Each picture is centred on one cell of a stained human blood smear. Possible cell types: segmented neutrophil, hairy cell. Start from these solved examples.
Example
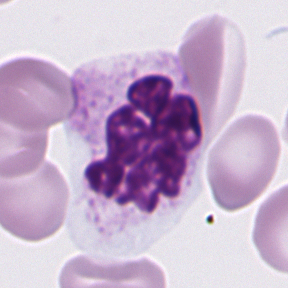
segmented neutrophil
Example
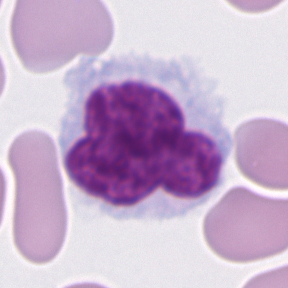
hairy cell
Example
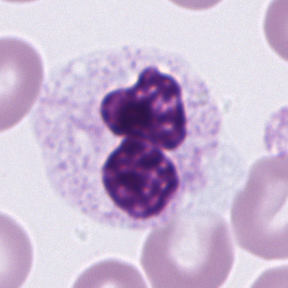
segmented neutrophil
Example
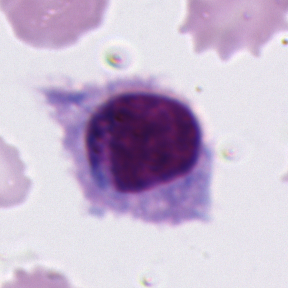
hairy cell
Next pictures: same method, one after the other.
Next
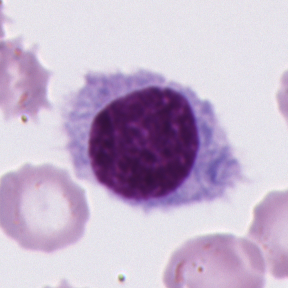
hairy cell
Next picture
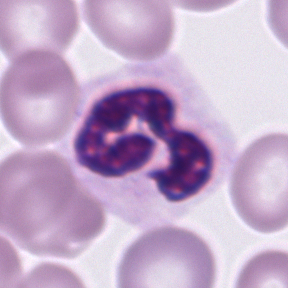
segmented neutrophil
